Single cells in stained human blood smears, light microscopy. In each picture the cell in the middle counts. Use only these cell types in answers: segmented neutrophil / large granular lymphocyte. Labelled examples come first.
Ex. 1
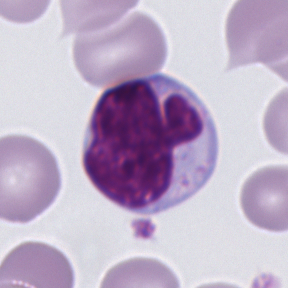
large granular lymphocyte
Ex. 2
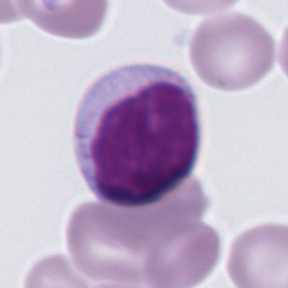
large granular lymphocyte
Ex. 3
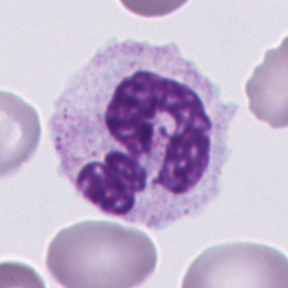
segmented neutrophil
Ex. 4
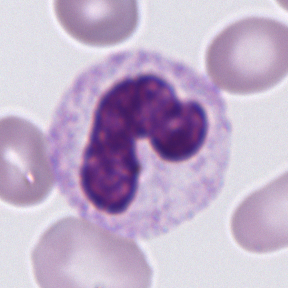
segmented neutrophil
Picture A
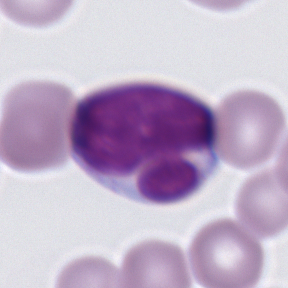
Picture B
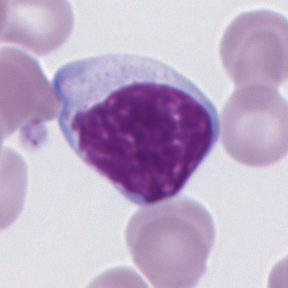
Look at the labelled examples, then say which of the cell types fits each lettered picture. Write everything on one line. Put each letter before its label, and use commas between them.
A large granular lymphocyte, B large granular lymphocyte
